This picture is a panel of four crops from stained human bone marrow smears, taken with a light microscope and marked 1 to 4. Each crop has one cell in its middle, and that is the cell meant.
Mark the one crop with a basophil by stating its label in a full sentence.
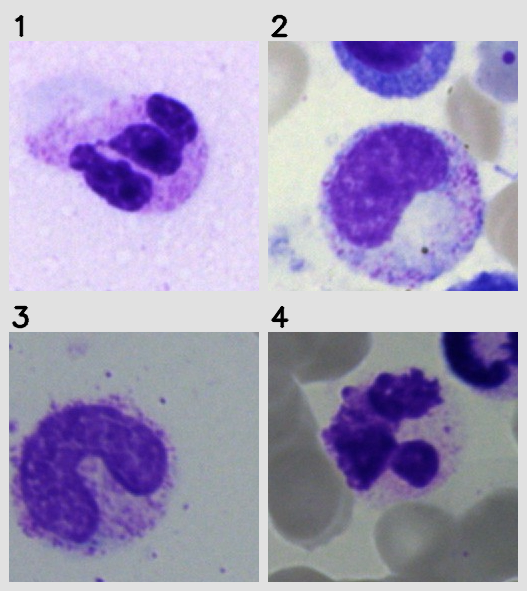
Crop 4, of the crops presented, is the one showing a basophil.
